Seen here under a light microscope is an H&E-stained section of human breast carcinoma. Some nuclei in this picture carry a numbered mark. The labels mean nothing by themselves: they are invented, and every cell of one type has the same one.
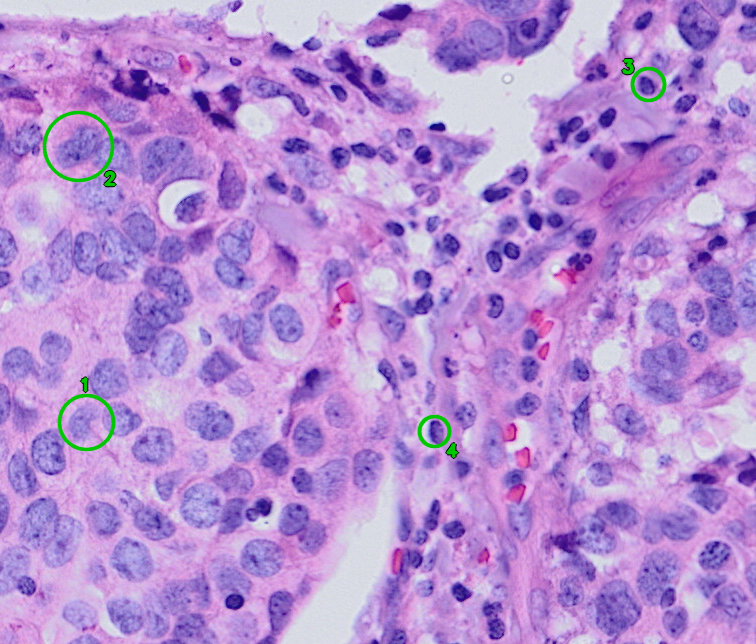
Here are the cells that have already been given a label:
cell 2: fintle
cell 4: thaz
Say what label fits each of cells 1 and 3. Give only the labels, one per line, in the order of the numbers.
fintle
thaz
